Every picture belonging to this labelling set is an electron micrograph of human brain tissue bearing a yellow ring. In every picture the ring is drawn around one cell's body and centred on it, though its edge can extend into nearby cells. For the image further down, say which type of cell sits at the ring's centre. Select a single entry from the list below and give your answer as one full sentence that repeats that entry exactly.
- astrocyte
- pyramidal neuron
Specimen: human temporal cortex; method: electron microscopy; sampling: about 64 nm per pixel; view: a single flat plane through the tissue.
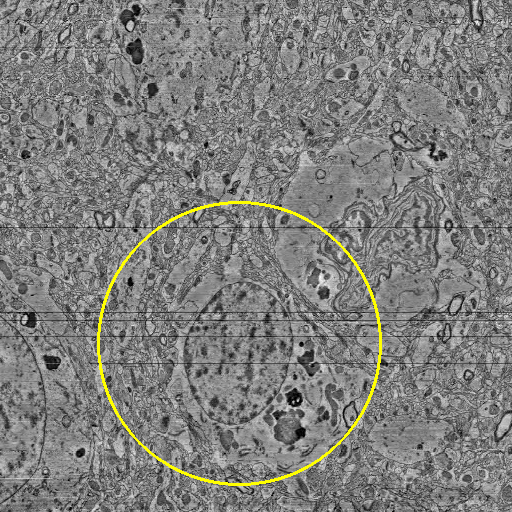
In the picture, an astrocyte is the cell at the centre of the yellow ring.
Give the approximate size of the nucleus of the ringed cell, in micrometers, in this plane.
About 9 by 7 micrometers, in this plane.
